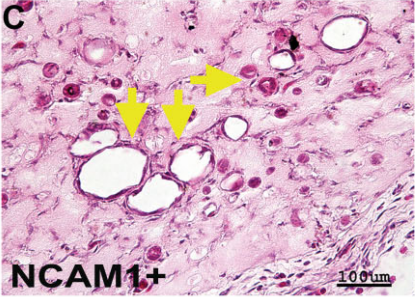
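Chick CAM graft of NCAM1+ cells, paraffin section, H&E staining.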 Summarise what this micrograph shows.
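A loose, pale pink matrix holds scattered cells with small dark nuclei, and among them lie several round, hollow spaces. Each of these spaces has a clear lumen rimmed by a thin layer of flattened to cuboidal cells. Some of the rounded profiles are clustered close together, side by side. Nearby are many small round cells with deeply pink cytoplasm.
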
